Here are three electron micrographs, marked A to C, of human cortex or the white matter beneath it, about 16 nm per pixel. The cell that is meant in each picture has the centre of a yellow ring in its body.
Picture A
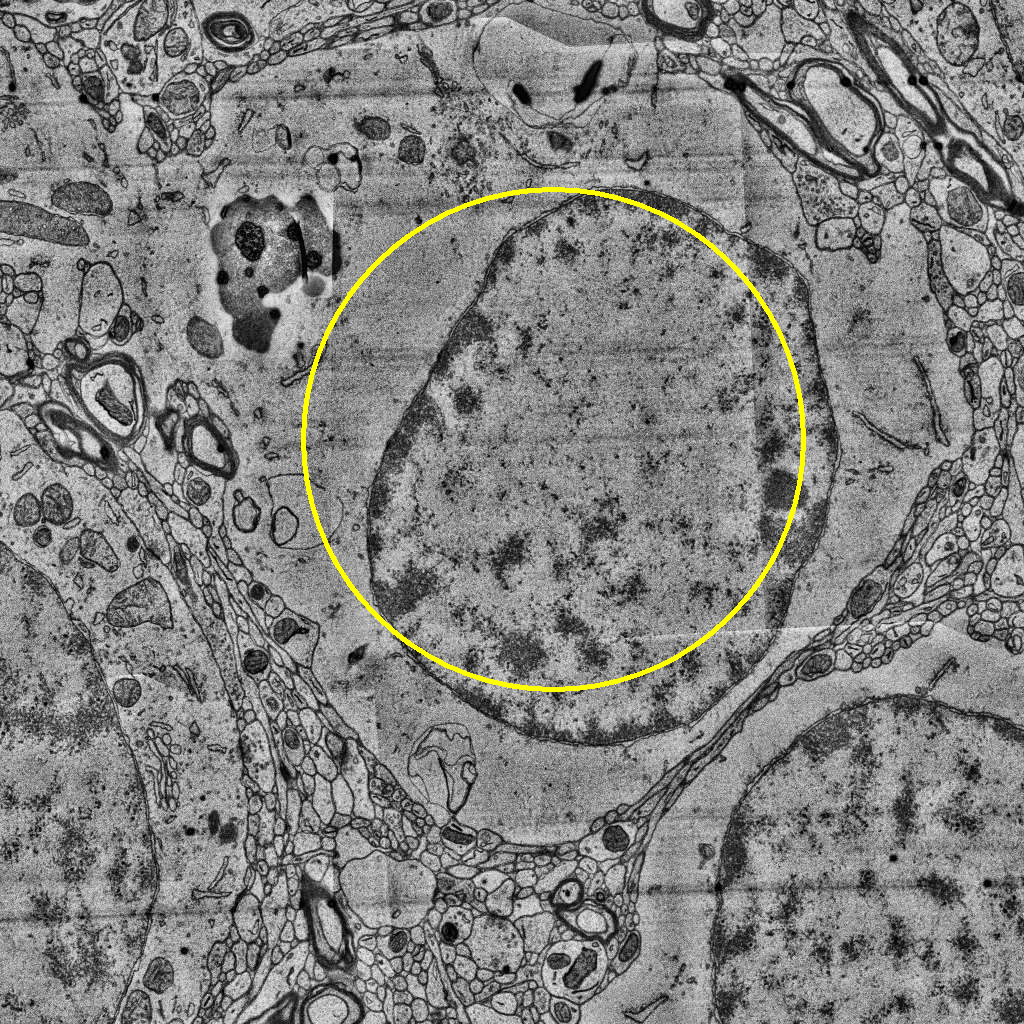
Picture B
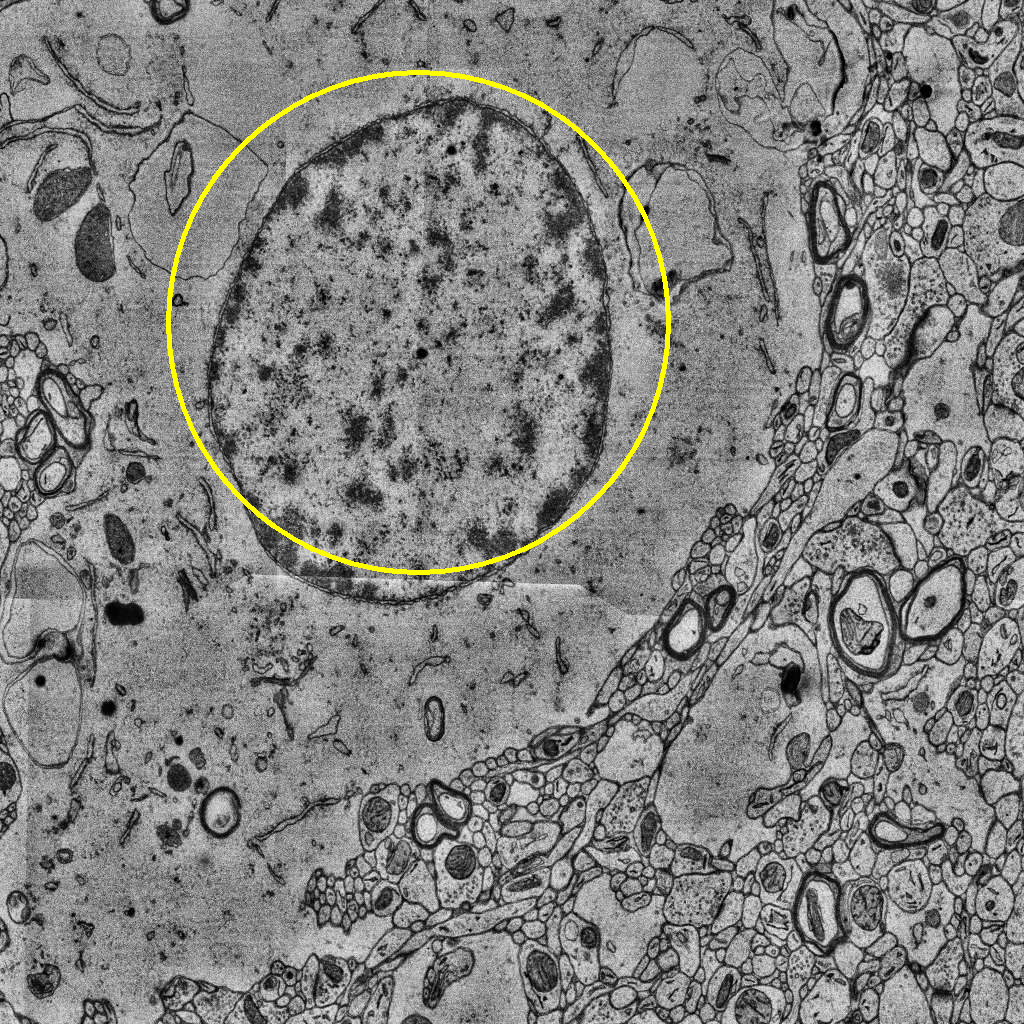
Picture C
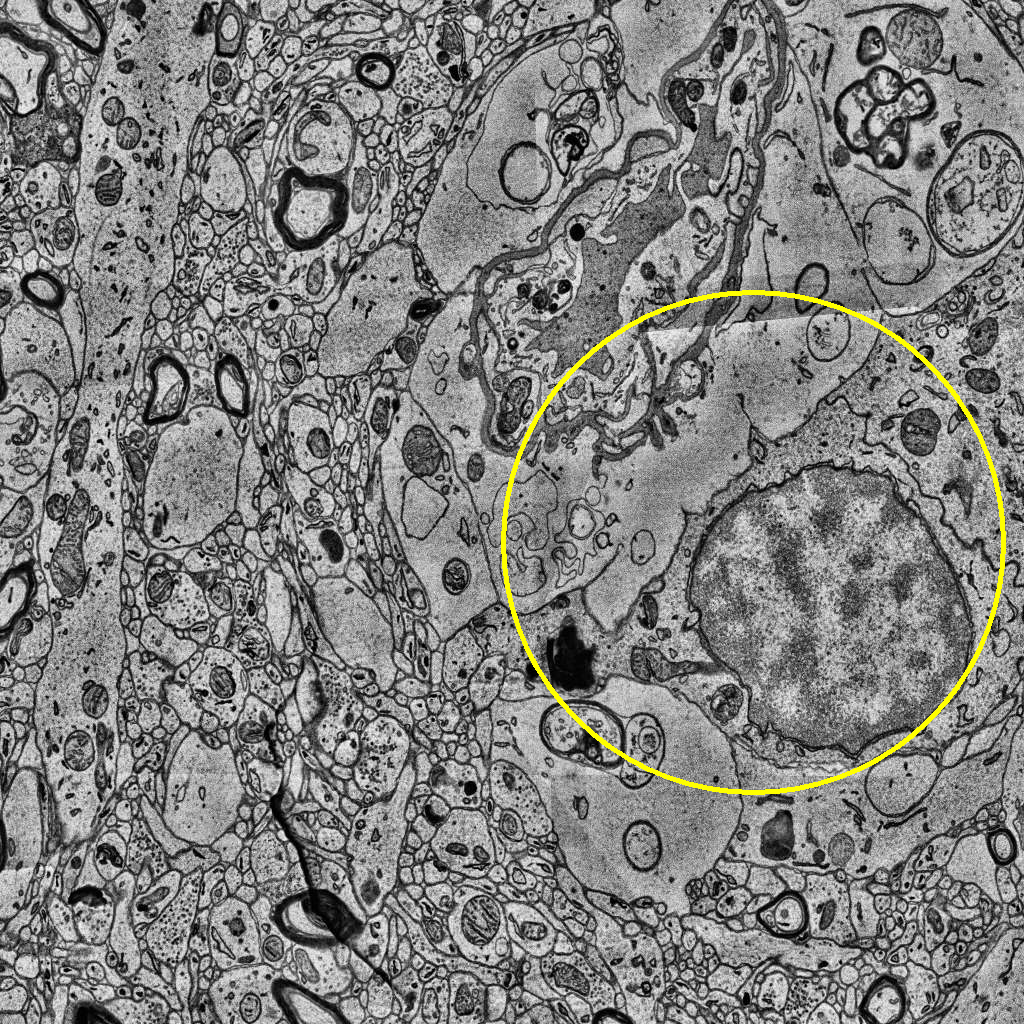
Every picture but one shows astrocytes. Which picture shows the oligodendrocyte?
The cell in picture C is the oligodendrocyte.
